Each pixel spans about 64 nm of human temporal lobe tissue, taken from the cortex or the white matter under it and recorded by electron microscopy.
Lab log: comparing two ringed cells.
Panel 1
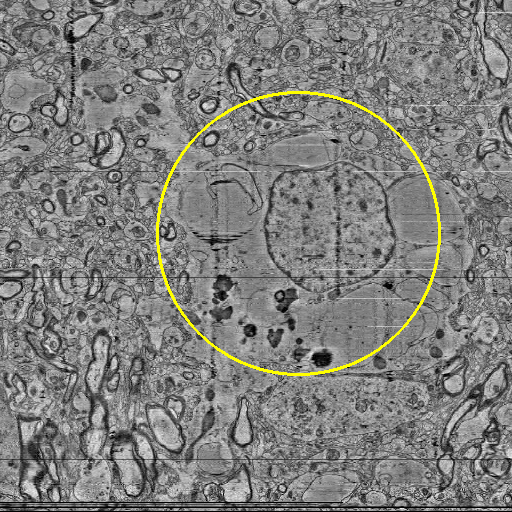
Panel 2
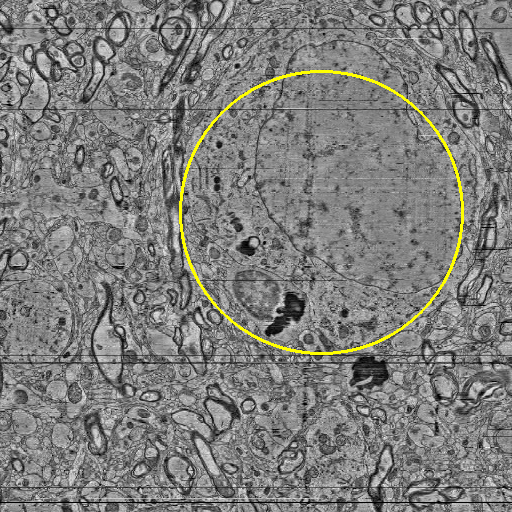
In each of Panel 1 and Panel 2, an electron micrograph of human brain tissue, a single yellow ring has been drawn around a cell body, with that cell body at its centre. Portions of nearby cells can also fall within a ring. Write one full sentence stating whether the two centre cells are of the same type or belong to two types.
The cells at the ring centres in Panel 1 and Panel 2 belong to two types.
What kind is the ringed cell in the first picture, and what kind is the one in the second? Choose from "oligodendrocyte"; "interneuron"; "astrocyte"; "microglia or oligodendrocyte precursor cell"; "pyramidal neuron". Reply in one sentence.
The first cell is an astrocyte; the second is a pyramidal neuron.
